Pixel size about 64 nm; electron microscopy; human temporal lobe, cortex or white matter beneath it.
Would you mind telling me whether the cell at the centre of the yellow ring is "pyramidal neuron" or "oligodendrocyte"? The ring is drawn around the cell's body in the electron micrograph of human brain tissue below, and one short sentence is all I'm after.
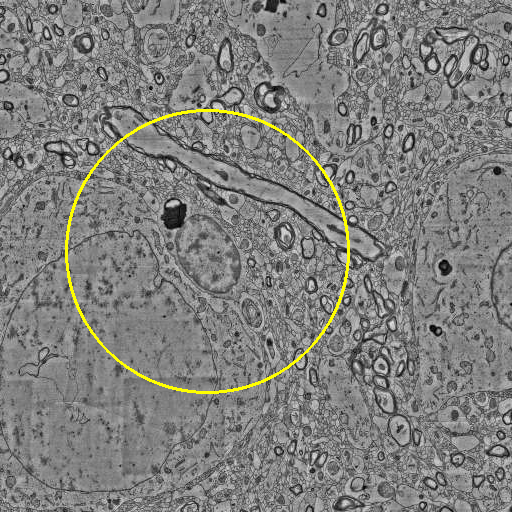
In the centre of the ring lies an oligodendrocyte.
